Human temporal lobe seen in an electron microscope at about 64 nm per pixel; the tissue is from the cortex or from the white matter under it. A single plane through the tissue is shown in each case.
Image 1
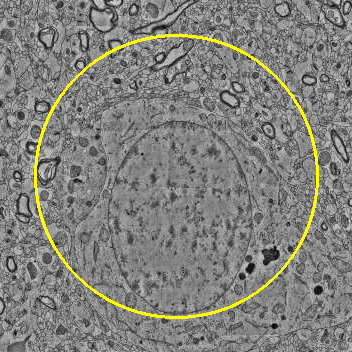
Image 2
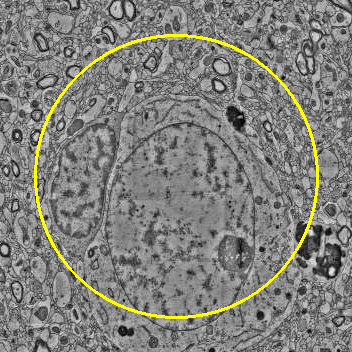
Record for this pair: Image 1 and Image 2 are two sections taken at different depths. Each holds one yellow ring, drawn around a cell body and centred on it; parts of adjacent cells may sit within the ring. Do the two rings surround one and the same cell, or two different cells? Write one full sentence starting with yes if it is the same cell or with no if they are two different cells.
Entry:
Yes, one cell accounts for both of the yellow rings.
